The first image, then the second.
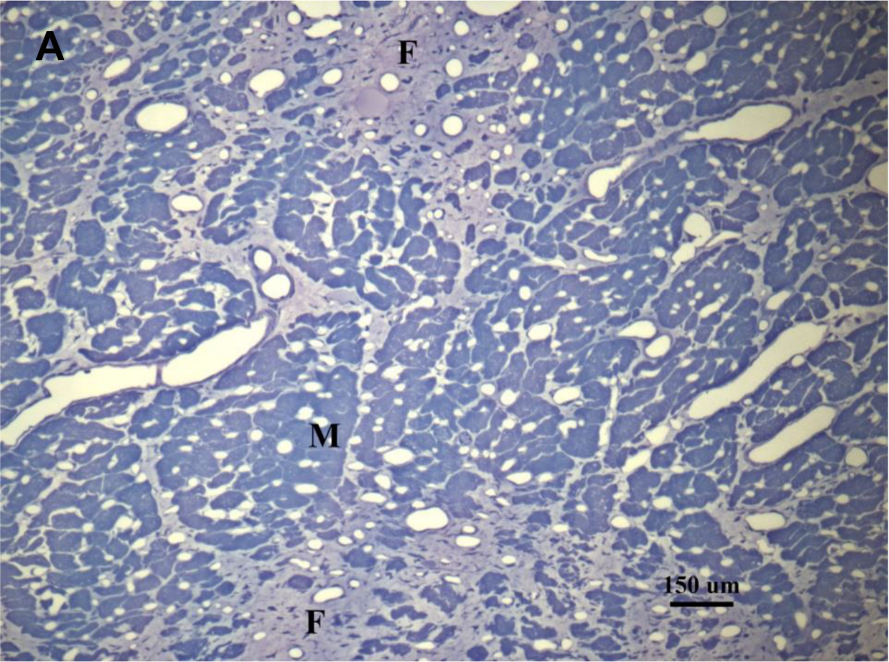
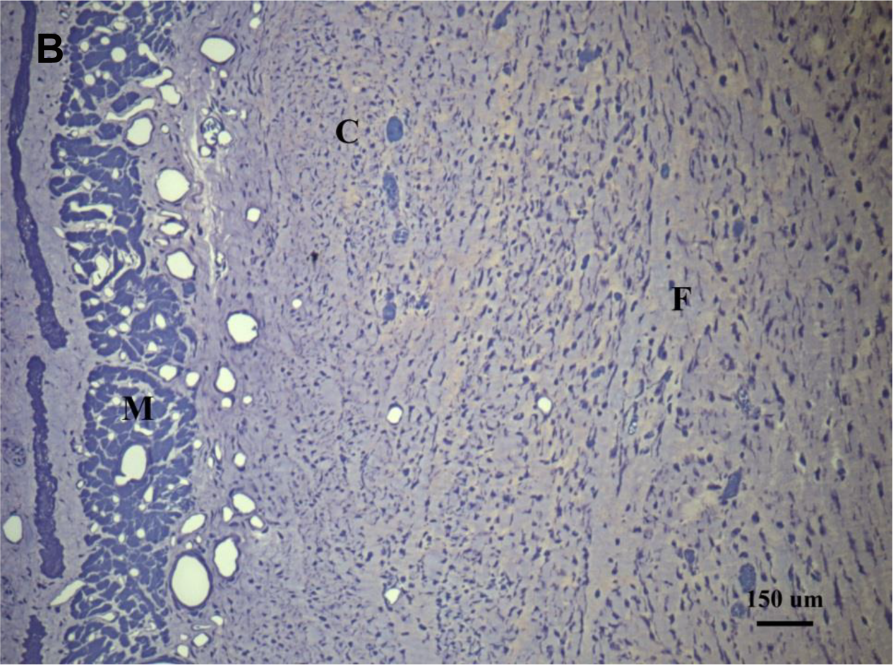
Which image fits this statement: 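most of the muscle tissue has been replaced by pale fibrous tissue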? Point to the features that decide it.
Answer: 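Second image: only a narrow strip of dark blue muscle remains at the left, the rest is pale tissue with spindle-shaped nuclei.
Hence: the second image.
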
